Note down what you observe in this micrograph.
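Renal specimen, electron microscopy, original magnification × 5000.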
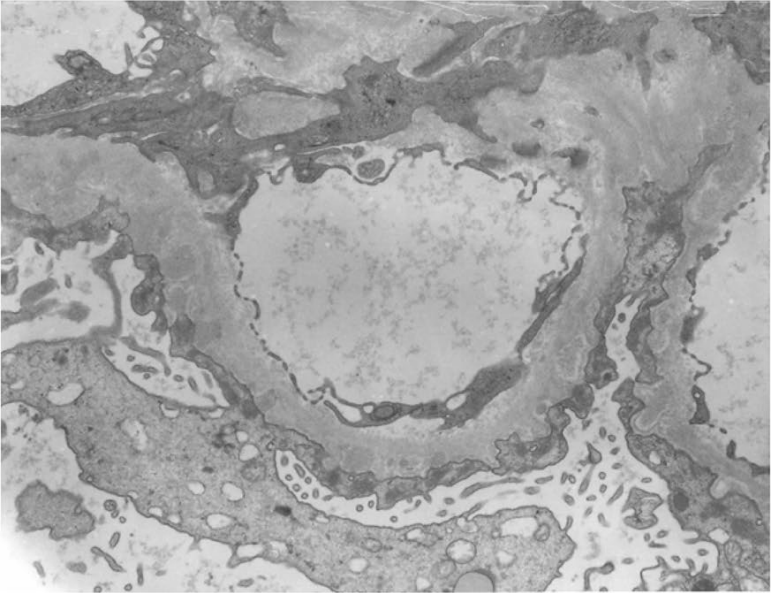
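This is a glomerular capillary loop seen with the electron microscope. In the middle lies a round capillary lumen, filled with pale, wispy plasma, lined by a very thin, dark endothelial layer. Around it runs the glomerular basement membrane, here a broad grey band, much thicker and more uneven than the thin line one would normally expect. Outside this band lie the epithelial cells, whose bodies and many small, cut processes fill the pale urinary space at the lower left and right. Dark, irregular cell cytoplasm at the top belongs to neighbouring cells between the loops.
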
